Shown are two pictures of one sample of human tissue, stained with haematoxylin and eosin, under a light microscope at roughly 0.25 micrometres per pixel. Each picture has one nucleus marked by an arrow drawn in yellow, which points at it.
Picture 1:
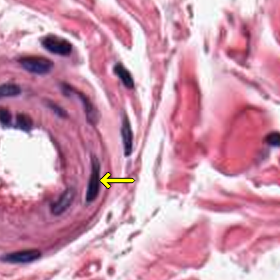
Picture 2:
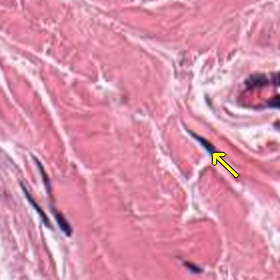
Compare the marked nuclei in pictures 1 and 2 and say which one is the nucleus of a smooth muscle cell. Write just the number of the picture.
1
